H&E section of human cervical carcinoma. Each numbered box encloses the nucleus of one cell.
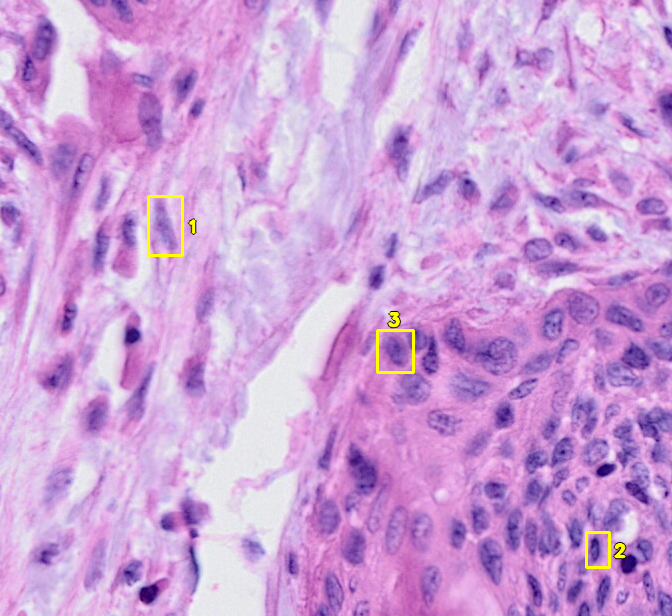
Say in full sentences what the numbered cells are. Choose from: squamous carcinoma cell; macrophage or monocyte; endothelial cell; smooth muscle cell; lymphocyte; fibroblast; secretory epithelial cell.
Cell 1 is a fibroblast. Cells 2 and 3 are squamous carcinoma cells.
